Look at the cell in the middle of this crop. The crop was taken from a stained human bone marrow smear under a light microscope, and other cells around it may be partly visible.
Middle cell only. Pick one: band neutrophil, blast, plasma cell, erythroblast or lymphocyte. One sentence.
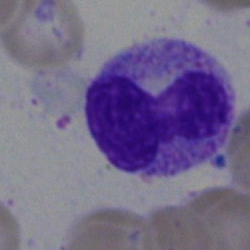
The middle cell in this particular crop is a band neutrophil.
